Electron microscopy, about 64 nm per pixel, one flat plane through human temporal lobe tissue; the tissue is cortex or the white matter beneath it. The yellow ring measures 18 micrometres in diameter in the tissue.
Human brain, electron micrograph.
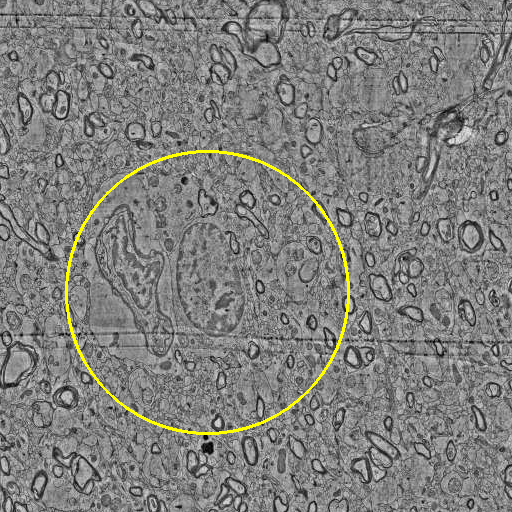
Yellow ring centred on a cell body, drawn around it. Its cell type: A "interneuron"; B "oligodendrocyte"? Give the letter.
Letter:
B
